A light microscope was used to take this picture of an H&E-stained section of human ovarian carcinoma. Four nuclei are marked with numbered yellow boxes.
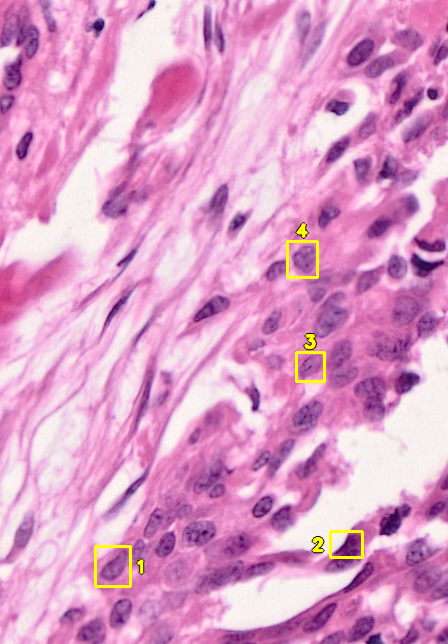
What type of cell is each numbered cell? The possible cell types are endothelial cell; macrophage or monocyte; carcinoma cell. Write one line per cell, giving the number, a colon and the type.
1: carcinoma cell
2: carcinoma cell
3: carcinoma cell
4: macrophage or monocyte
